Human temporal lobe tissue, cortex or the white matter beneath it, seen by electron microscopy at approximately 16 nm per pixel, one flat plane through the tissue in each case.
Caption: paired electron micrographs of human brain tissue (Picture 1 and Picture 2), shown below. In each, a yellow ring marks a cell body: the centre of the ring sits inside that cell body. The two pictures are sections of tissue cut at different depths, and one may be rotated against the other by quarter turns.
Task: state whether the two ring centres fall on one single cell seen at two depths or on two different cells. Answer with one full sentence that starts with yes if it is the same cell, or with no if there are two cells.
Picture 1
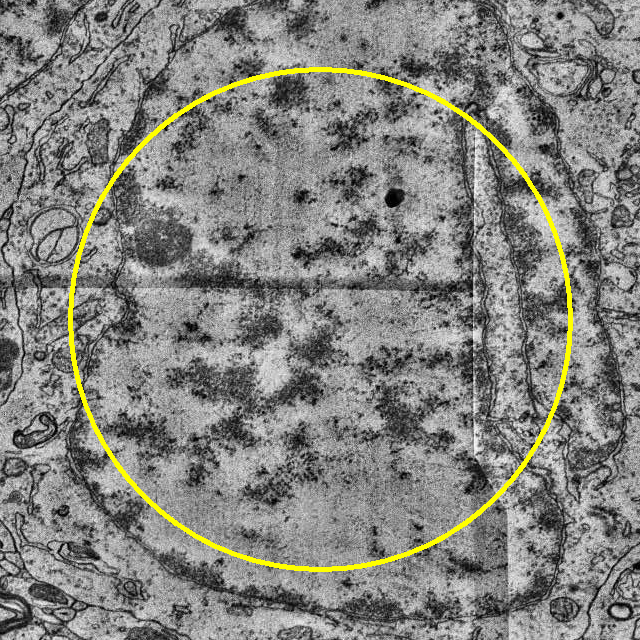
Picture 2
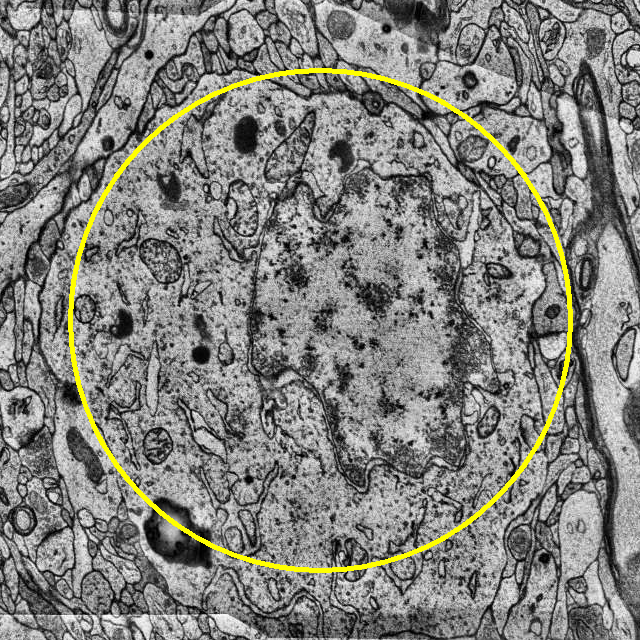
No, the yellow rings mark two separate cells, not one.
